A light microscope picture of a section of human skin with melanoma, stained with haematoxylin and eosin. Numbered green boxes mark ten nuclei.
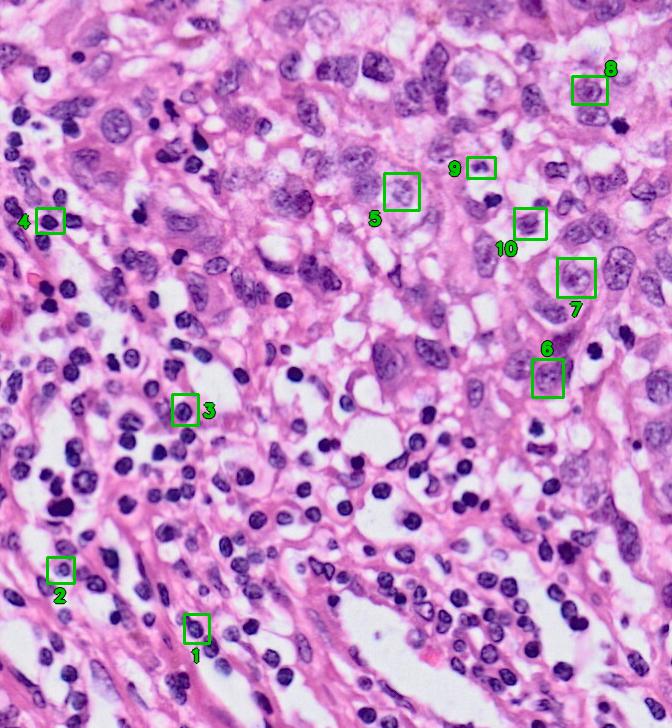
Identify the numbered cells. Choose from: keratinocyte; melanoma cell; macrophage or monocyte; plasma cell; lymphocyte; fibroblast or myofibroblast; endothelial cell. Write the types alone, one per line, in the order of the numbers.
lymphocyte
lymphocyte
lymphocyte
lymphocyte
melanoma cell
melanoma cell
melanoma cell
melanoma cell
lymphocyte
melanoma cell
